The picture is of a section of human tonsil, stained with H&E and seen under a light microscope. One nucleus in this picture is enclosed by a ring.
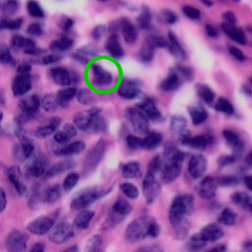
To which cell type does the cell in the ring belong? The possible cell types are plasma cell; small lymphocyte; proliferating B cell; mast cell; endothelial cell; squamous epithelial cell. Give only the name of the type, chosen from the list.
proliferating B cell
